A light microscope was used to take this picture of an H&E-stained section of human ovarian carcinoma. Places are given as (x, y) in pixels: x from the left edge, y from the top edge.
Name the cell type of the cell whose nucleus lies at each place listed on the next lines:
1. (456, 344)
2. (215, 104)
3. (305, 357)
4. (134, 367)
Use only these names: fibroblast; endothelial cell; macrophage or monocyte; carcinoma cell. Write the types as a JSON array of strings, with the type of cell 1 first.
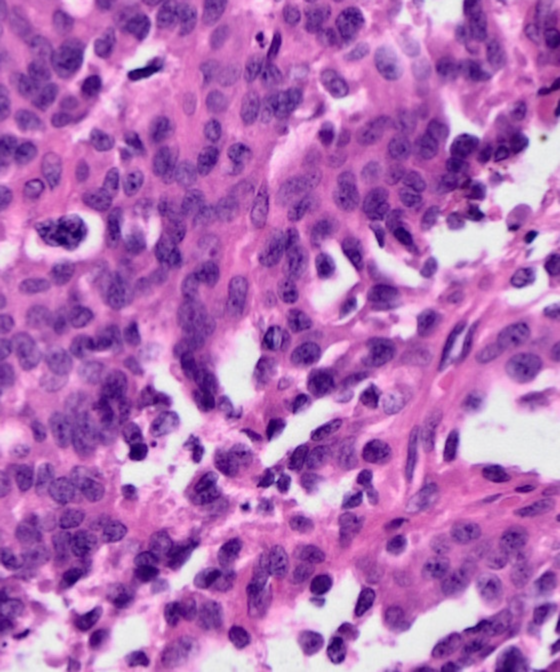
["endothelial cell", "carcinoma cell", "carcinoma cell", "carcinoma cell"]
